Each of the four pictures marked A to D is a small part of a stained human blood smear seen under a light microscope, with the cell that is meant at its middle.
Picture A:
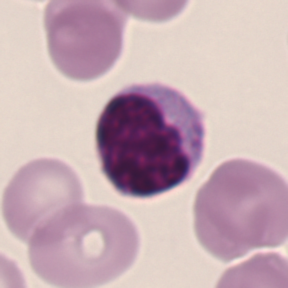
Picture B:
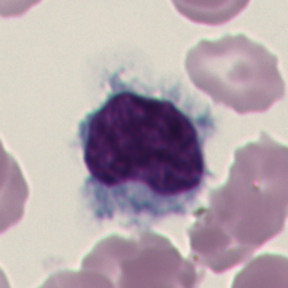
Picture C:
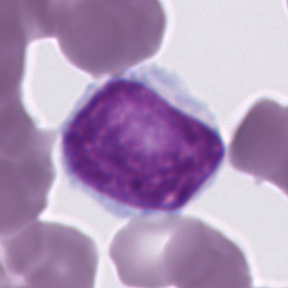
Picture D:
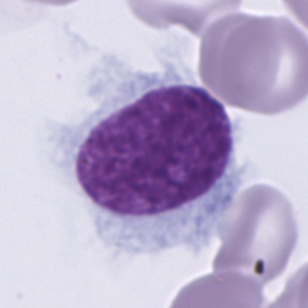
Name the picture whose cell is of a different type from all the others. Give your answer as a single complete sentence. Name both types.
Picture A is the odd one out: it shows a typical lymphocyte, while the others show hairy cells.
